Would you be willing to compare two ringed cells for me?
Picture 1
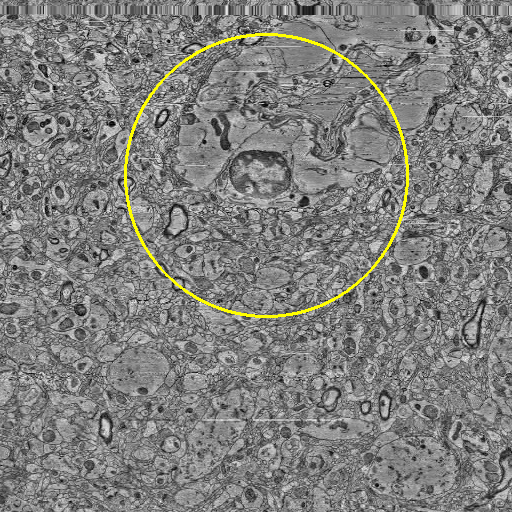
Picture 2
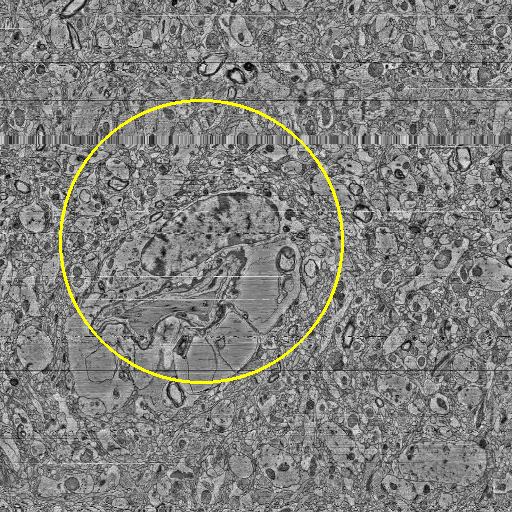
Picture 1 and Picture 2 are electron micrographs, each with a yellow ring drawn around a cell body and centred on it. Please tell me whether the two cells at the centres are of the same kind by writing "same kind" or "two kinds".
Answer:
same kind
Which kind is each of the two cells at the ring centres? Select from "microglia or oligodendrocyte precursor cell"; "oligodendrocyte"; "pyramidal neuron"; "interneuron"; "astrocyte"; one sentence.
Both pictures show a microglial cell or oligodendrocyte precursor cell at the centre of the ring.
